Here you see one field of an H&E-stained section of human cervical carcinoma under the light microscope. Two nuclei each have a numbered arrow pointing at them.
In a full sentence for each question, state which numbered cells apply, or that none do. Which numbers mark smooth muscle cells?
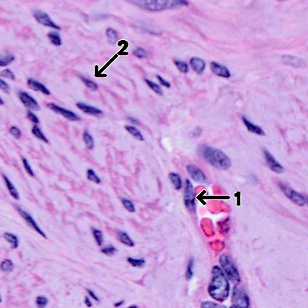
The one cell that is a smooth muscle cell is cell 2, and no other.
